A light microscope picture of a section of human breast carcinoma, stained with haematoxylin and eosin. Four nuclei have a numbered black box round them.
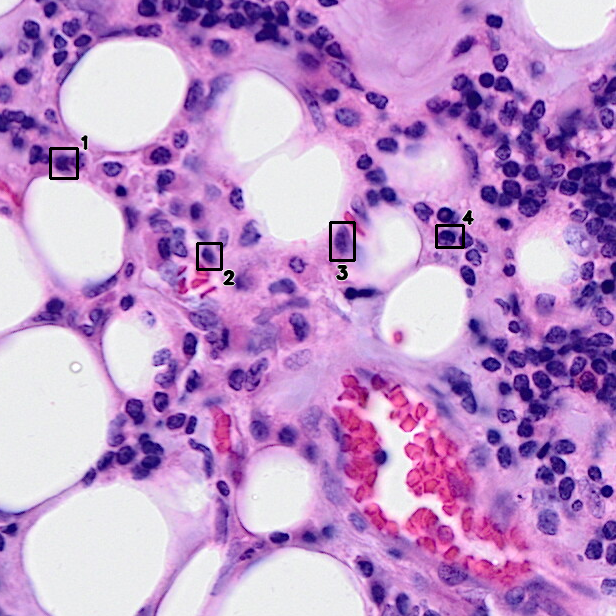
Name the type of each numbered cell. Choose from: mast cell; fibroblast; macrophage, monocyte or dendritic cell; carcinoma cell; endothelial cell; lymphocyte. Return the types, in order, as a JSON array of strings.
["lymphocyte", "lymphocyte", "endothelial cell", "lymphocyte"]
